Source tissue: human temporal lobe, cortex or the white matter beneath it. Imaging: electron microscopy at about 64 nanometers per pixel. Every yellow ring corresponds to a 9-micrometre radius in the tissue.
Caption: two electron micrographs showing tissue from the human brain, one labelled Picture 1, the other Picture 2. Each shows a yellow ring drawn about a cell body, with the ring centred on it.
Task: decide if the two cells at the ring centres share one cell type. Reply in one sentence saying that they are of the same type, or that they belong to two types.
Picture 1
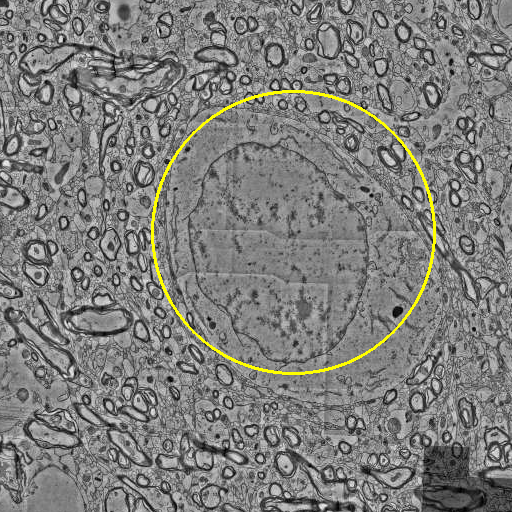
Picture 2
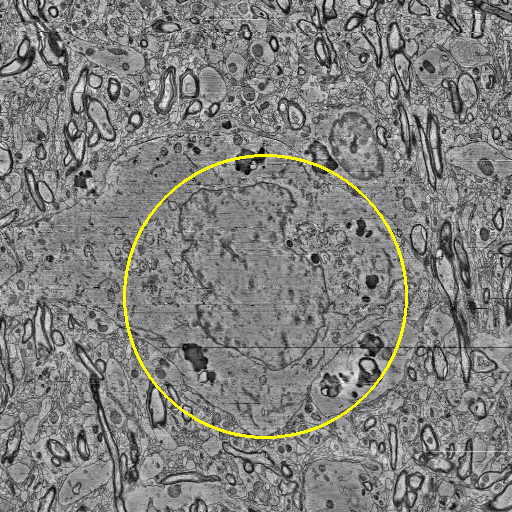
The cells at the ring centres in Picture 1 and Picture 2 are of the same type.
